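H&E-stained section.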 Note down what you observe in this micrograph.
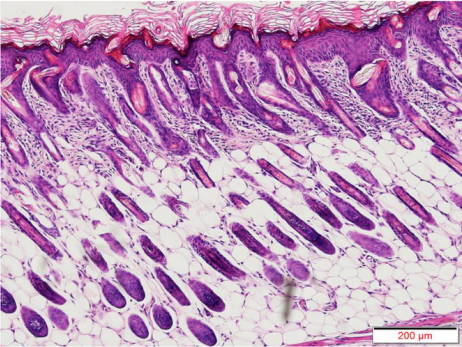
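Skin with a thick, deeply purple epidermis topped by a wavy, layered pink keratin coat. Beneath it the dermis holds many hair follicles slanting downward, their elongated purple bulbs reaching into a wide layer of pale, empty-looking fat cells. Some follicles near the surface contain pale, pink, keratinous material, but no hair shafts are seen passing through the epidermis to project beyond the surface. The follicles are present and numerous, yet the hair shafts appear trapped beneath the skin surface, consistent with shafts that cannot penetrate the epidermis.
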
